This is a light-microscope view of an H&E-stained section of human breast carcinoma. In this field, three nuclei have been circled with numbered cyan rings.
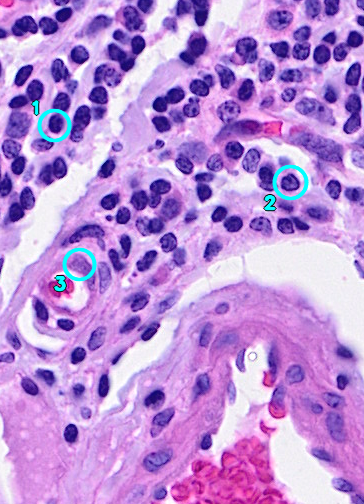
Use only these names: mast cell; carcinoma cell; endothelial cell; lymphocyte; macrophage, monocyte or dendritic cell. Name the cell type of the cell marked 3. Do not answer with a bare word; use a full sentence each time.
The nucleus labelled 3 belongs to an endothelial cell.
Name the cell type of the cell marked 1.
The numbered cell 1 is identified here as a lymphocyte.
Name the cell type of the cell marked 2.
Identified by the number 2, the cell is a lymphocyte.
